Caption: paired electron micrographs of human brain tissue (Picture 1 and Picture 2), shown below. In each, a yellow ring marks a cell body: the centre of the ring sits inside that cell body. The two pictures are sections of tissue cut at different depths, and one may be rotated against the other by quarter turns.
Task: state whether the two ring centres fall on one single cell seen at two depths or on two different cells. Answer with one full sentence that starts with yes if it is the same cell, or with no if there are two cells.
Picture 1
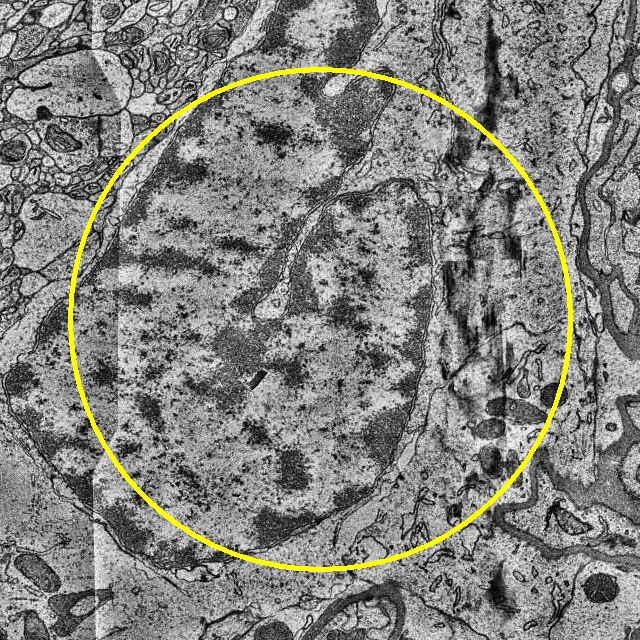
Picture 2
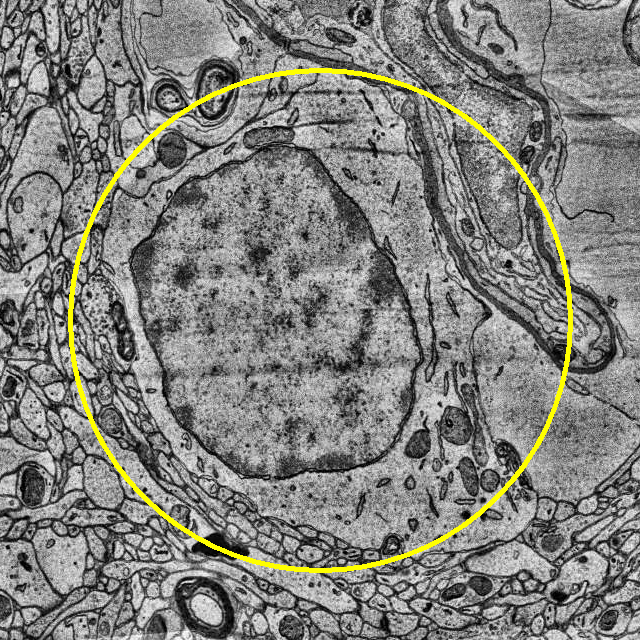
No, the two marked cells are different cells.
